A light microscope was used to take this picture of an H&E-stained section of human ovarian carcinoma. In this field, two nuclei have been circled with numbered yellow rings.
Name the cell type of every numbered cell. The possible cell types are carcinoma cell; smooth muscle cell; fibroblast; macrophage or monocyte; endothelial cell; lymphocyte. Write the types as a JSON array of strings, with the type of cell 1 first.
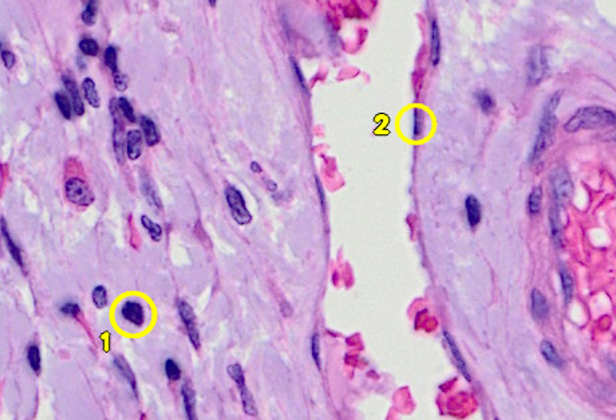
["lymphocyte", "endothelial cell"]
